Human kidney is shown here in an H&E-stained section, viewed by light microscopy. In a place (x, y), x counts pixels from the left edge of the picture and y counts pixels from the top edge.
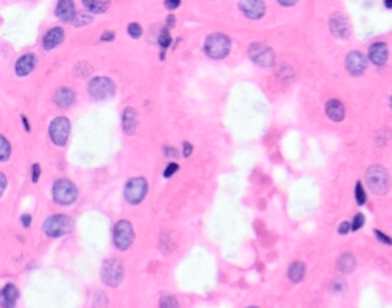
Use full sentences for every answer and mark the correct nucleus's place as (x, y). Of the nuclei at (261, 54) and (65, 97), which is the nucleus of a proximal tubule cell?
Out of the two, it is the nucleus at (261, 54) that belongs to a proximal tubule cell.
